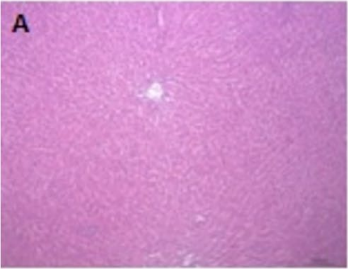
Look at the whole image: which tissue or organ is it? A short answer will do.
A: hepatic parenchyma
